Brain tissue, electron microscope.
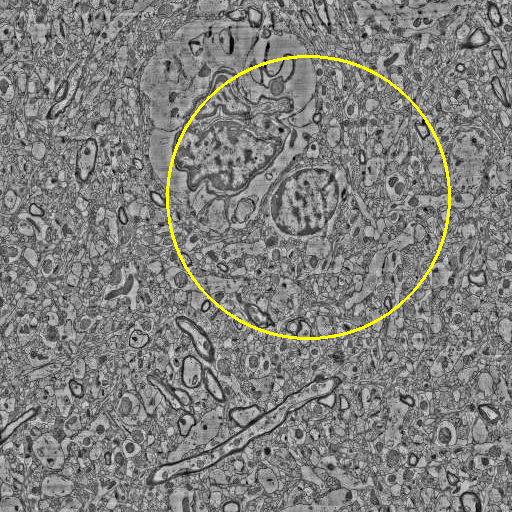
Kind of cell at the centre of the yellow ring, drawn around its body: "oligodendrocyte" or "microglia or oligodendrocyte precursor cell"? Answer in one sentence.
The ring's centre falls on a microglial cell or oligodendrocyte precursor cell.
